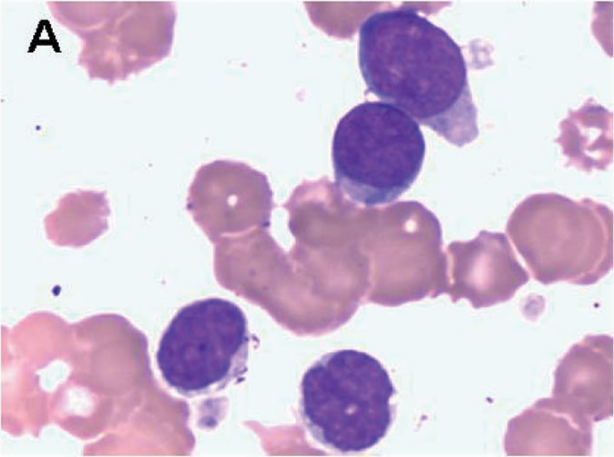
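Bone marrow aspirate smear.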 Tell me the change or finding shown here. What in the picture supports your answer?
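Hyperchromatic nuclei. The nuclei stain deep purple. The nuclei fill most of each cell, with only a thin rim of blue cytoplasm.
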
